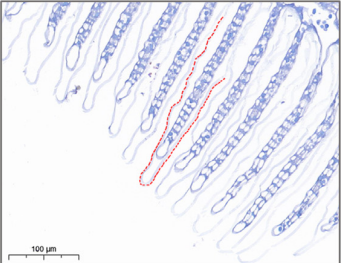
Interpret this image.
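Many long, narrow, parallel gill lamellae run side by side, each with a core of blue-stained epithelial cells around a slender central space and a rounded tip. Around each blue core lies a pale, almost unstained outer layer, set apart from the cells by a clear space that widens toward the tips.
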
